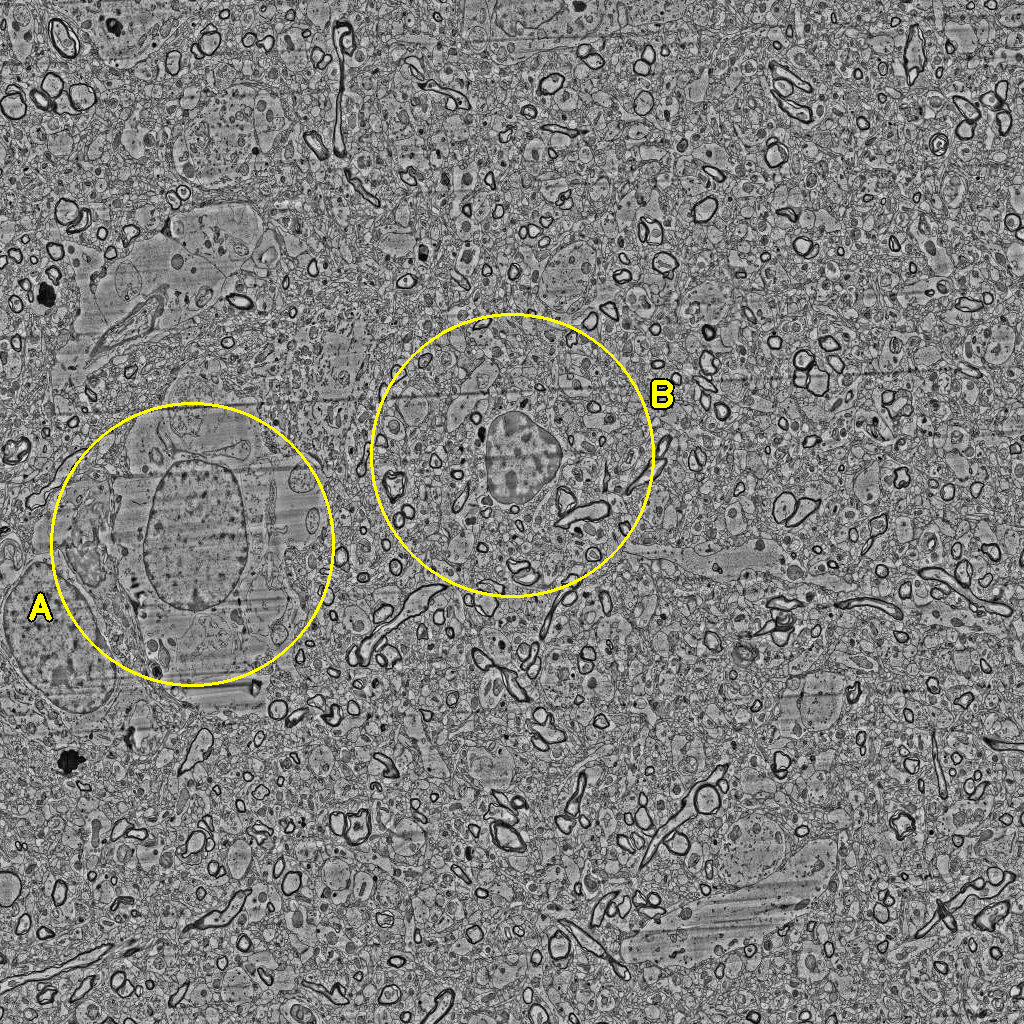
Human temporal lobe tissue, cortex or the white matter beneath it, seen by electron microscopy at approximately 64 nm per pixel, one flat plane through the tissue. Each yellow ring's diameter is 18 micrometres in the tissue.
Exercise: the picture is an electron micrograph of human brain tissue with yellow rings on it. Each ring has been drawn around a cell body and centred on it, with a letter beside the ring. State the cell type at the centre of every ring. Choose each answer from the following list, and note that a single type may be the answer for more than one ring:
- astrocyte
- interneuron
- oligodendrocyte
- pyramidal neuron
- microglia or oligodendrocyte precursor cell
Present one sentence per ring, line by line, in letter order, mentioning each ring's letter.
Ring A shows an astrocyte at its centre.
Ring B shows a microglial cell or oligodendrocyte precursor cell at its centre.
